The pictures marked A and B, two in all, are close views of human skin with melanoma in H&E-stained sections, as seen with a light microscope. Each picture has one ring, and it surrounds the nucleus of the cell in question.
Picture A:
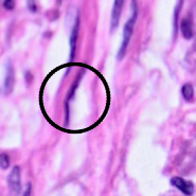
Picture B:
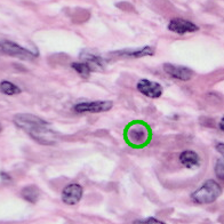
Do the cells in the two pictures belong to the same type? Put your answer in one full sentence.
No. Picture A shows a “fibroblast or myofibroblast”, but picture B shows a plasma cell.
